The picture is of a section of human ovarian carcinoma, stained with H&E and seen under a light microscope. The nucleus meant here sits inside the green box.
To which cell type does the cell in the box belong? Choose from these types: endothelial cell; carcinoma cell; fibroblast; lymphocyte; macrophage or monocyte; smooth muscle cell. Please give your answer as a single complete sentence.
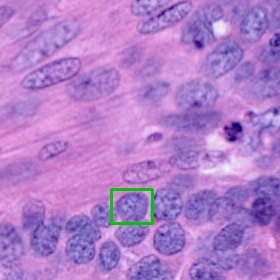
At the level of cell identity, the cell in the box is a carcinoma cell.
